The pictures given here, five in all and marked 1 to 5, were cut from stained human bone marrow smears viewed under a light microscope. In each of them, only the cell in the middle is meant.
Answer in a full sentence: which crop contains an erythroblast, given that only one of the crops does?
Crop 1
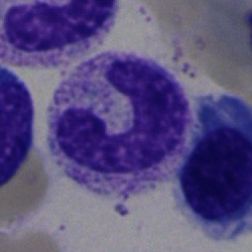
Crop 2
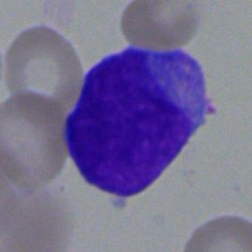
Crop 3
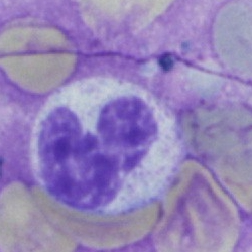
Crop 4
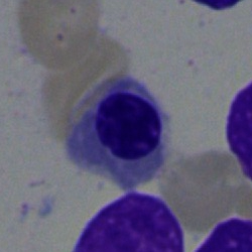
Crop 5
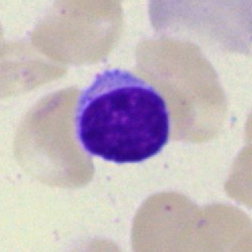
In the set of crops, crop 4 is the one that contains an erythroblast.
